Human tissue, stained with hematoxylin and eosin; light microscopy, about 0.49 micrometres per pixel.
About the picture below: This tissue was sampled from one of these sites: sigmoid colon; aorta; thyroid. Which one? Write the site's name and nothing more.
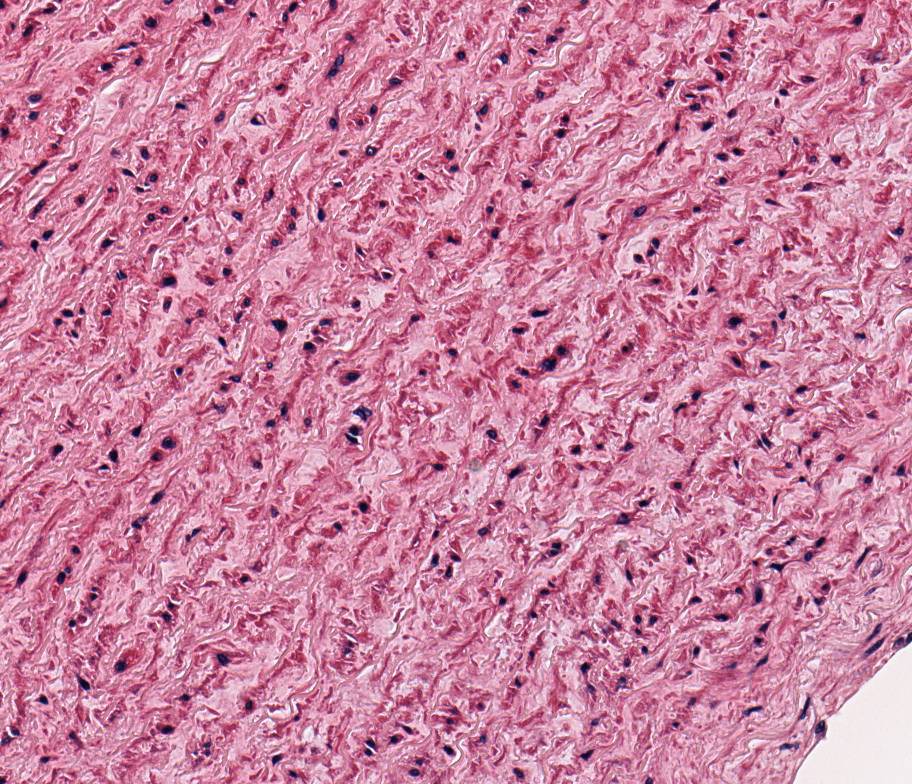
aorta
